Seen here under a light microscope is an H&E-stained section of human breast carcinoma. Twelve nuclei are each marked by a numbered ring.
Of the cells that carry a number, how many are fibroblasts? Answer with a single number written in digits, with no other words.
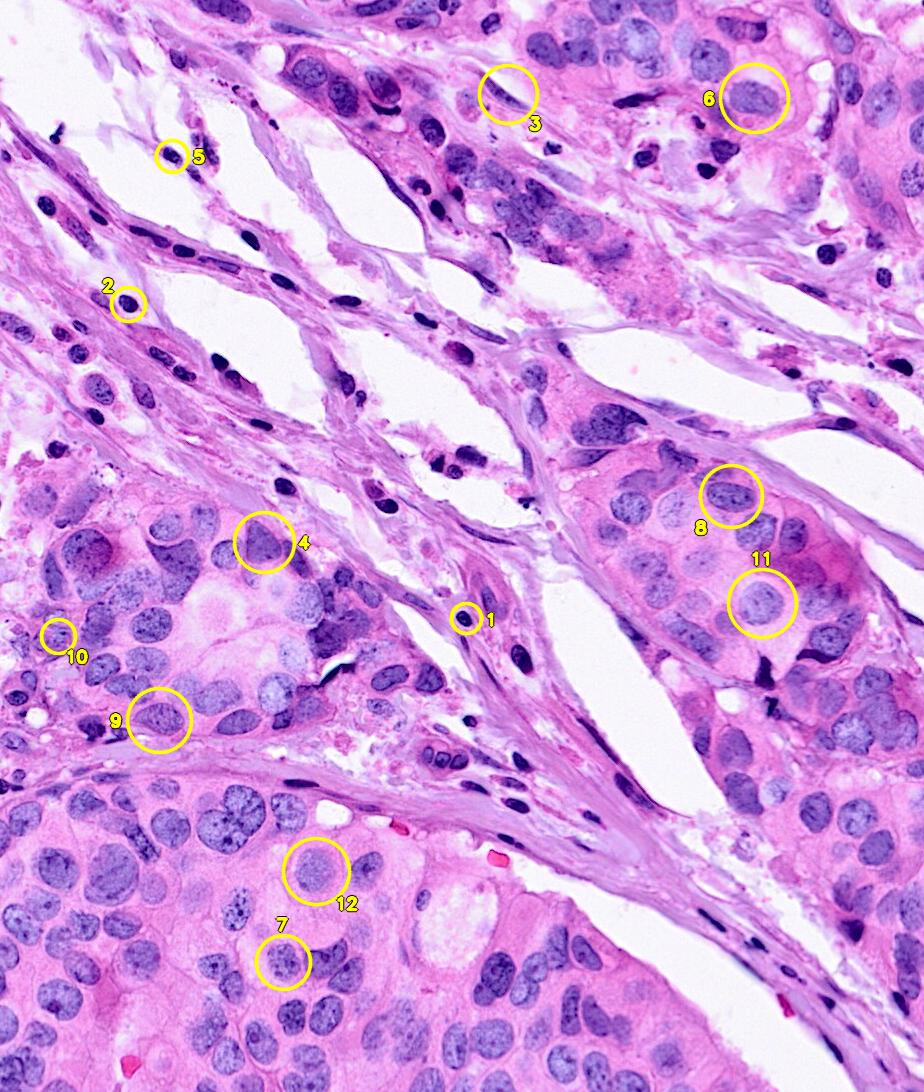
1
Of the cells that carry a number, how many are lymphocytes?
3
